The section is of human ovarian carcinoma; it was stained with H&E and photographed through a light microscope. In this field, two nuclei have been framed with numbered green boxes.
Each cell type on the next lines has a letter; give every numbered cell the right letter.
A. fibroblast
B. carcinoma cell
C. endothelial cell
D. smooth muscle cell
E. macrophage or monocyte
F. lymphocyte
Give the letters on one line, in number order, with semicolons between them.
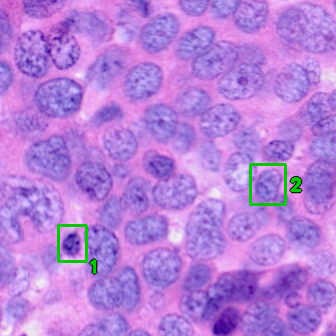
F; B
